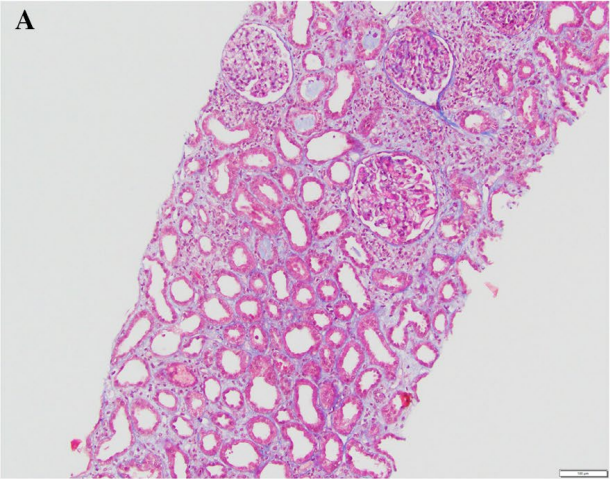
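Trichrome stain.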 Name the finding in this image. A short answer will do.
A: Acute tubular injury.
